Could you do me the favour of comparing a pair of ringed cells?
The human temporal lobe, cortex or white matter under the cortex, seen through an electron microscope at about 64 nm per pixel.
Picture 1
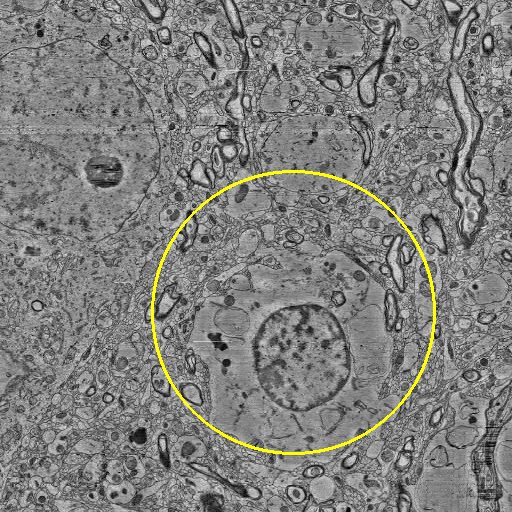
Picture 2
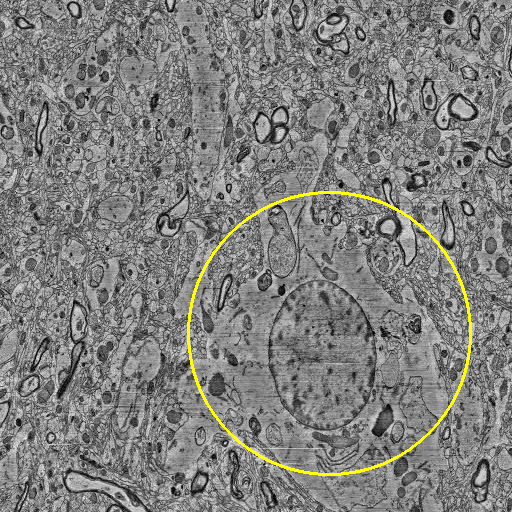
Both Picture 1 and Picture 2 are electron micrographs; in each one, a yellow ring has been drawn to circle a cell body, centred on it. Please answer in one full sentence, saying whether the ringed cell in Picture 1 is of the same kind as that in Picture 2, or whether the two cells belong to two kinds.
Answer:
The ringed cell in Picture 1 is of the same kind as that in Picture 2.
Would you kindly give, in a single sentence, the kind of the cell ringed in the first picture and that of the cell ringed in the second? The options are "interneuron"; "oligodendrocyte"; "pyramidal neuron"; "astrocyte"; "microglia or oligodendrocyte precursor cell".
The second cell is an astrocyte, just as the first is.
